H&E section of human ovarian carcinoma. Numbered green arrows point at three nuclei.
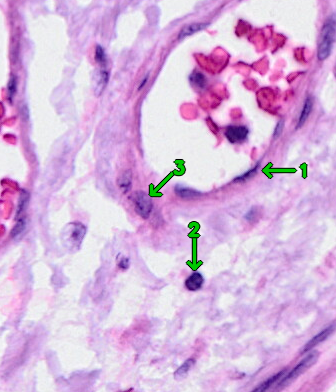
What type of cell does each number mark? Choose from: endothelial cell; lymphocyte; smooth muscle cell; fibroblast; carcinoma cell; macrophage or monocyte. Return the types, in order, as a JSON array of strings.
["endothelial cell", "lymphocyte", "endothelial cell"]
